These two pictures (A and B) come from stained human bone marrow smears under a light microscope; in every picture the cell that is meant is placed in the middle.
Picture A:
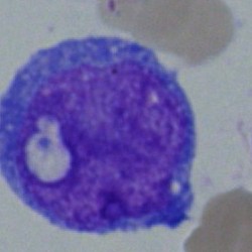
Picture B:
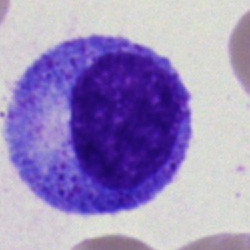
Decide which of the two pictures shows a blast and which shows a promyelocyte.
A: blast
B: promyelocyte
